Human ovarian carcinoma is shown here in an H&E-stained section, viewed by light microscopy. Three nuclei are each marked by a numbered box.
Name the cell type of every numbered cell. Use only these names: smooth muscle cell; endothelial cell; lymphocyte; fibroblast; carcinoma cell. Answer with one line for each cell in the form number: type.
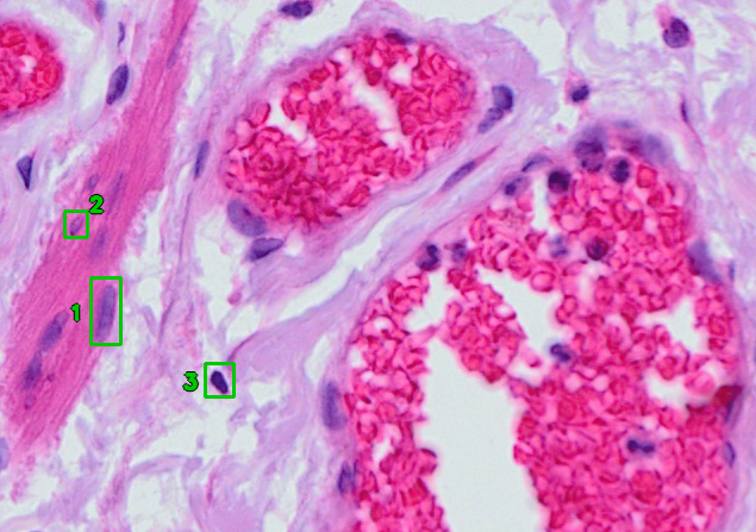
1: smooth muscle cell
2: smooth muscle cell
3: lymphocyte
